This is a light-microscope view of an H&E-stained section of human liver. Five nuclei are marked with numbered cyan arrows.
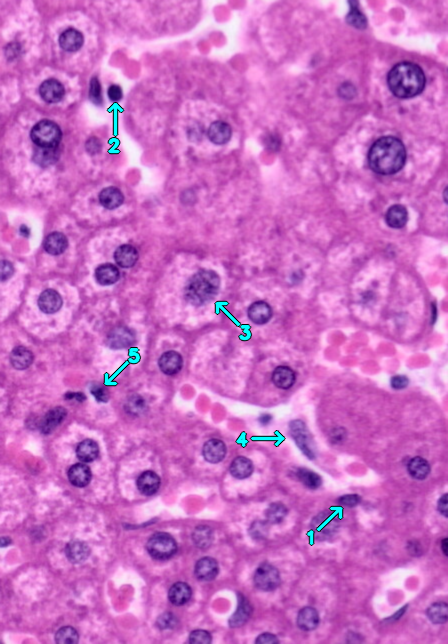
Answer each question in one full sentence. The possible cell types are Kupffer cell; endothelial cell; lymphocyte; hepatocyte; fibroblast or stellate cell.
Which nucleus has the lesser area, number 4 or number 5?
The smaller nucleus is 5, and 4 covers roughly 2 times its area.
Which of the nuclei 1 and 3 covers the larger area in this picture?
Of the two, number 3 is bigger and takes up about 4 times the area of number 1.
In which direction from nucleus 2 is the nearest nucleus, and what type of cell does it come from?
The nearest nucleus is that of a Kupffer cell and lies to the left of nucleus 2.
